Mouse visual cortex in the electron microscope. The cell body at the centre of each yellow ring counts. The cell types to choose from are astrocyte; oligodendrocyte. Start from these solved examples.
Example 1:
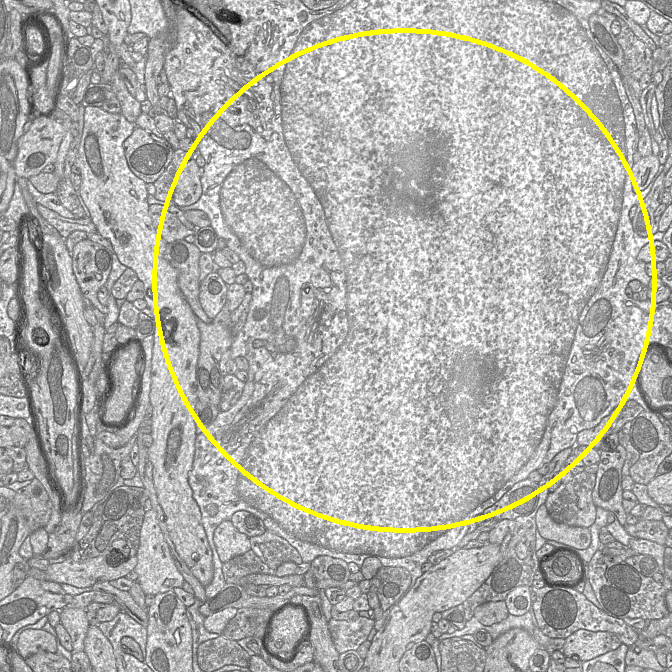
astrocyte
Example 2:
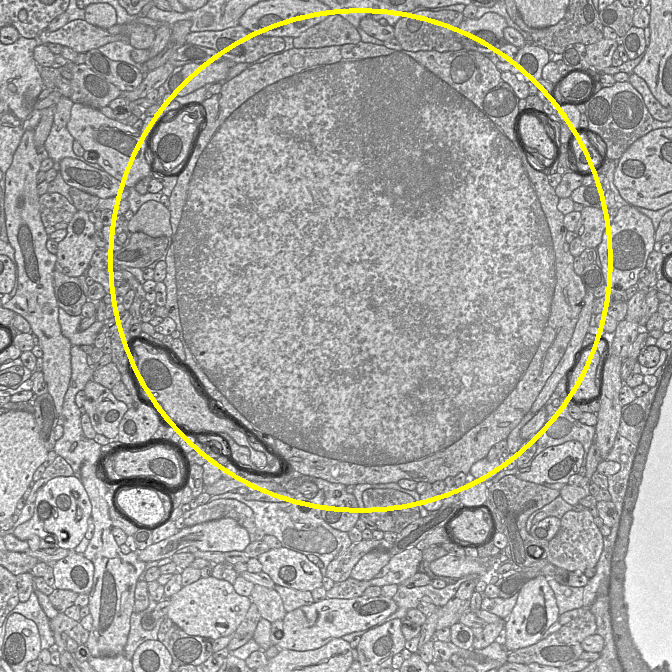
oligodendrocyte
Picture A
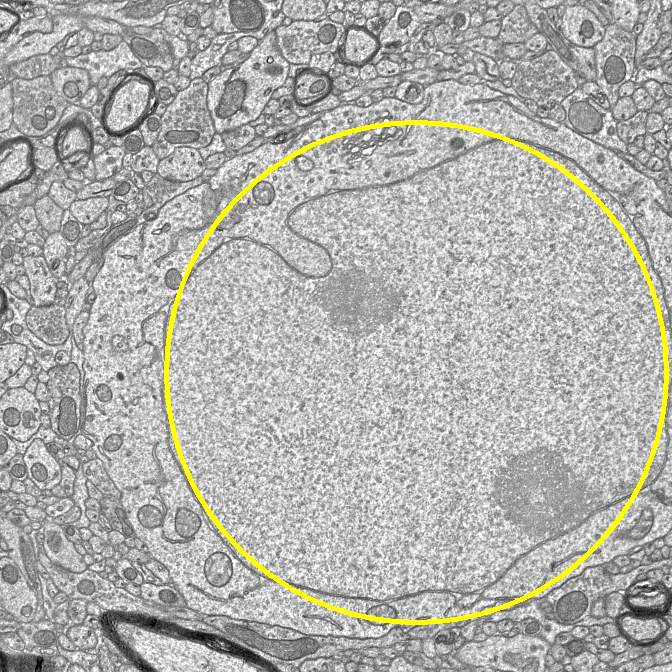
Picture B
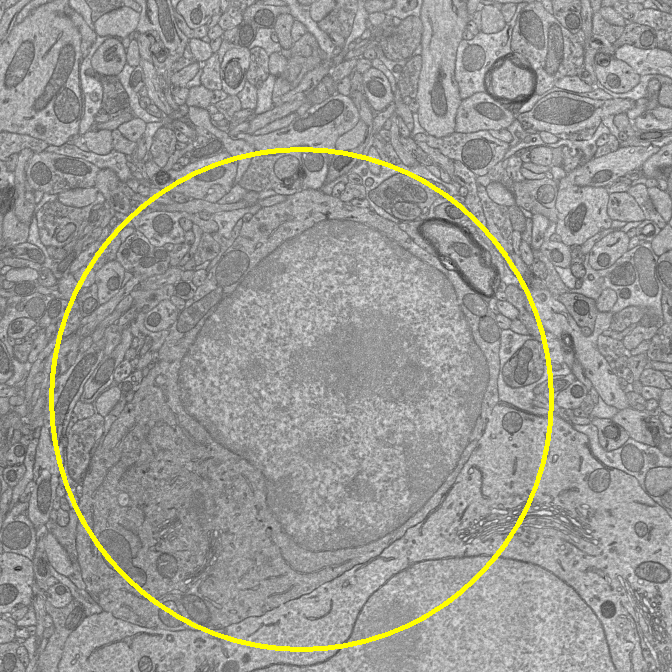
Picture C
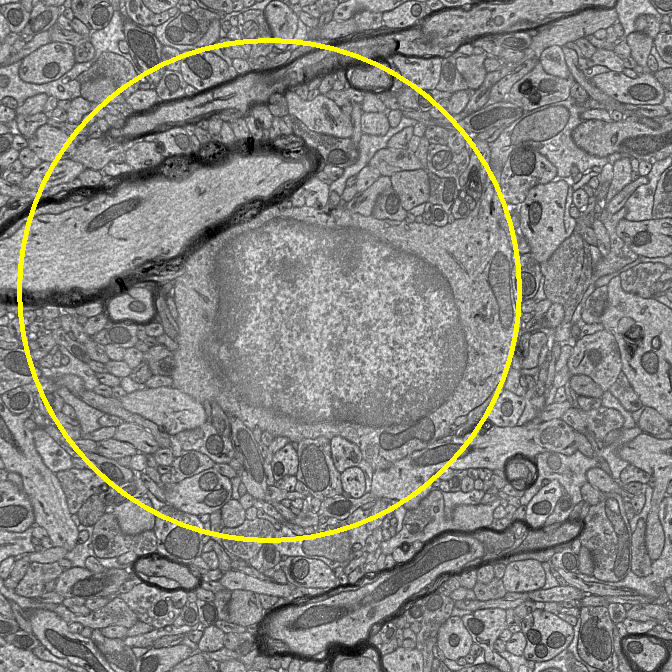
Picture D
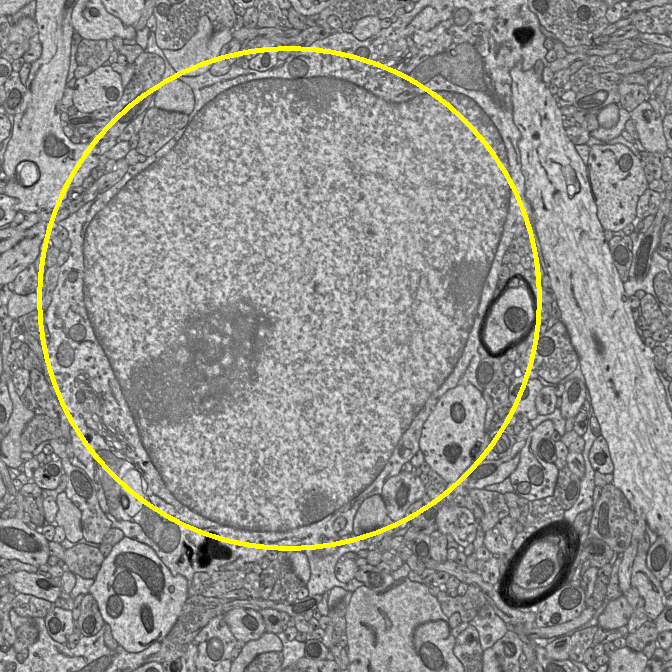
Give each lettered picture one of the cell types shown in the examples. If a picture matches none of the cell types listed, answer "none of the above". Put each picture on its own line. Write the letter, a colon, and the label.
A: none of the above
B: oligodendrocyte
C: oligodendrocyte
D: astrocyte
